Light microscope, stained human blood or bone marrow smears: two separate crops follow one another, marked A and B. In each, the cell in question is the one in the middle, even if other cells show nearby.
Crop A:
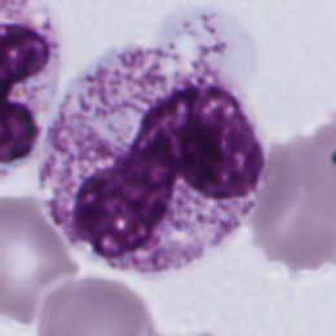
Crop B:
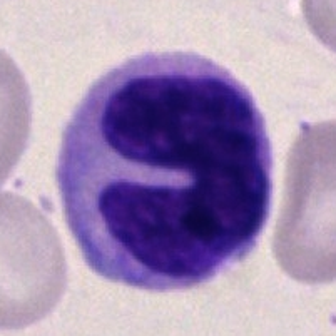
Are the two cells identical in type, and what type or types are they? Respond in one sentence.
Yes, in the case of both crops, the central cells are band neutrophils.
